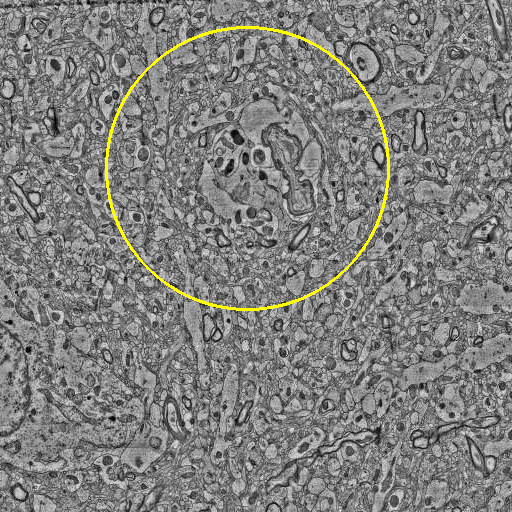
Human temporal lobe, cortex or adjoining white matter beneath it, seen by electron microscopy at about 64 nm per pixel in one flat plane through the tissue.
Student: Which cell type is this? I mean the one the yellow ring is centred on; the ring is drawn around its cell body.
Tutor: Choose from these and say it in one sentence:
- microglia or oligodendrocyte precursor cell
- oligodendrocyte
The cell the ring is centred on is an oligodendrocyte.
